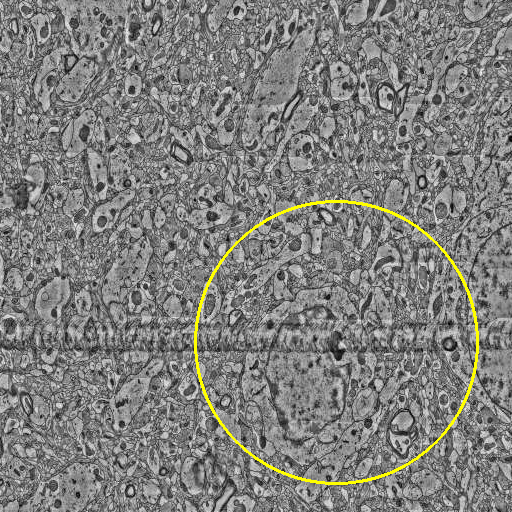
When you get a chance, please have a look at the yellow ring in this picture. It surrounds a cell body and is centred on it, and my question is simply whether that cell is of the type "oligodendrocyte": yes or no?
No, the cell is of another type.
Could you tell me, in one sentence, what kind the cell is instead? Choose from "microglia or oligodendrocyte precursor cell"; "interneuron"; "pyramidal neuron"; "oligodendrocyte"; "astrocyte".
The cell enclosed by the ring is an interneuron.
